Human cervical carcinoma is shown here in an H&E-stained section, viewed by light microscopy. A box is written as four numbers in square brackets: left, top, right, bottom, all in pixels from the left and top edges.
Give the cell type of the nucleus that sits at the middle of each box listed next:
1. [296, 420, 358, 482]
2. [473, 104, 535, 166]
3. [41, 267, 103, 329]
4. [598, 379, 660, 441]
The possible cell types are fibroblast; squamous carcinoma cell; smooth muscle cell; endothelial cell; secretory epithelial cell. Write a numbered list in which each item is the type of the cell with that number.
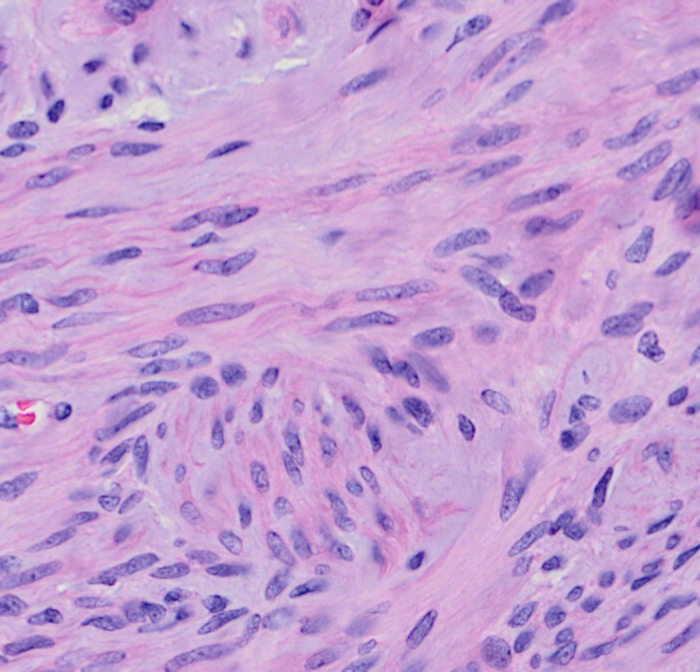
1. smooth muscle cell
2. smooth muscle cell
3. smooth muscle cell
4. fibroblast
